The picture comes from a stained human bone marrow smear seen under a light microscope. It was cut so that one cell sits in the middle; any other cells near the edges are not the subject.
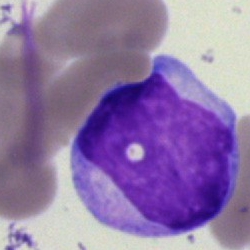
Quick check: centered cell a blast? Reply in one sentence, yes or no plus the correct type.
Yes, this central cell is a blast.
